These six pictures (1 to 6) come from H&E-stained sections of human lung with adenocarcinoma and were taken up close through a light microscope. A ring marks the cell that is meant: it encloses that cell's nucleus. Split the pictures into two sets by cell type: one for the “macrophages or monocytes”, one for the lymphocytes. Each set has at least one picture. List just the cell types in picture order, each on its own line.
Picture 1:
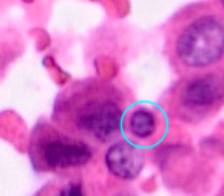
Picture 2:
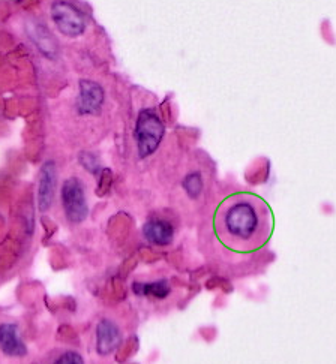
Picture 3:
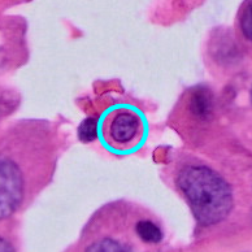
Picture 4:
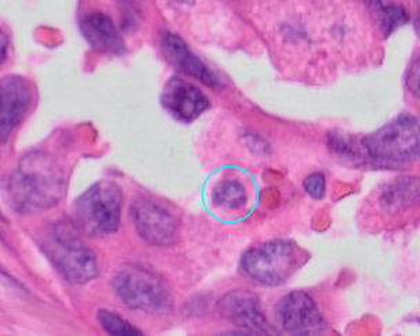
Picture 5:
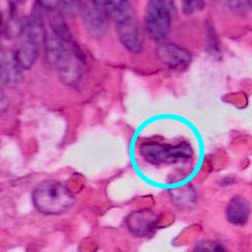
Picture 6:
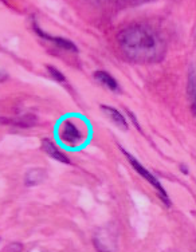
lymphocyte
macrophage or monocyte
macrophage or monocyte
macrophage or monocyte
macrophage or monocyte
lymphocyte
